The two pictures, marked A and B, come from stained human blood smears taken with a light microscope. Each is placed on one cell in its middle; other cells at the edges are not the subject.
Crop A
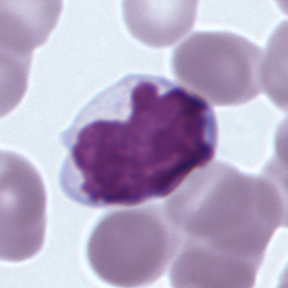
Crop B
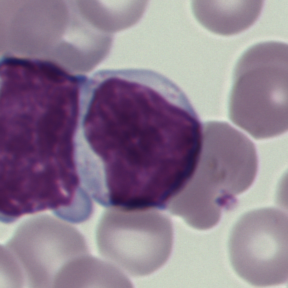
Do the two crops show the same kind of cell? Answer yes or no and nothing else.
yes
